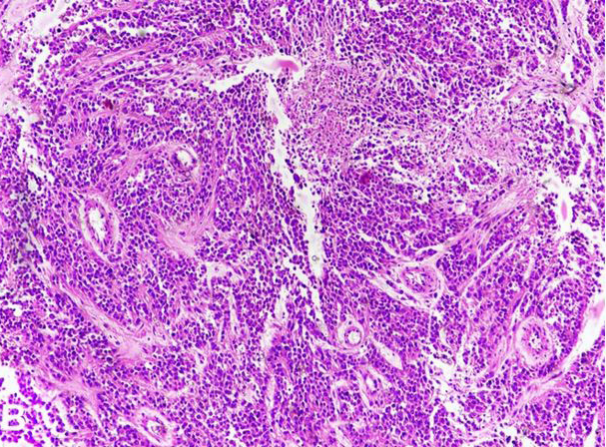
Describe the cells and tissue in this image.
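A densely cellular tumor made of sheets and nests of small round to oval cells with dark purple nuclei. Small blood vessels with pink walls are scattered through the tumor, and tumor cells are packed around them. Thin pink fibrous strands divide the cells into groups. Narrow clefts and spaces separate some of the cell groups.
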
